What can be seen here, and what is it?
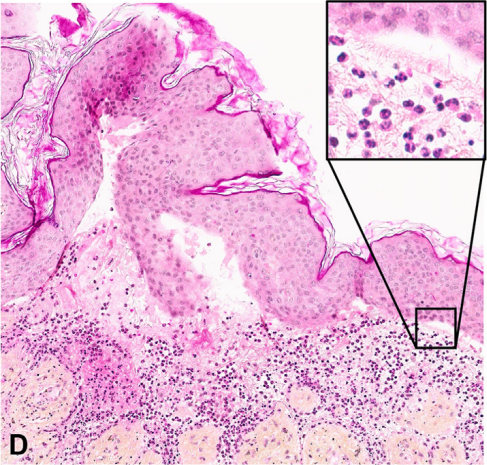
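Skin with an acanthotic epidermis beneath a layer of pink, flaking keratin and a densely inflamed upper dermis. An enlarged area near the dermoepidermal junction shows cells with lobed, segmented dark nuclei. A clear cleft runs into the epidermis.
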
